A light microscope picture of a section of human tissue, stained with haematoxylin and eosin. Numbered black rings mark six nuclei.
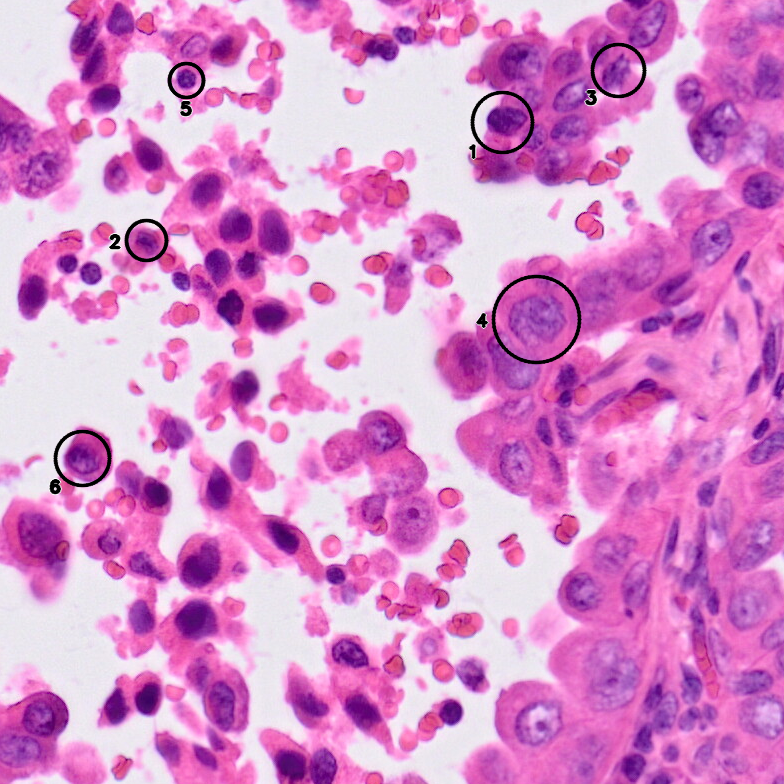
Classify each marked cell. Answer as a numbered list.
1. carcinoma cell
2. macrophage or monocyte
3. carcinoma cell
4. carcinoma cell
5. lymphocyte
6. carcinoma cell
